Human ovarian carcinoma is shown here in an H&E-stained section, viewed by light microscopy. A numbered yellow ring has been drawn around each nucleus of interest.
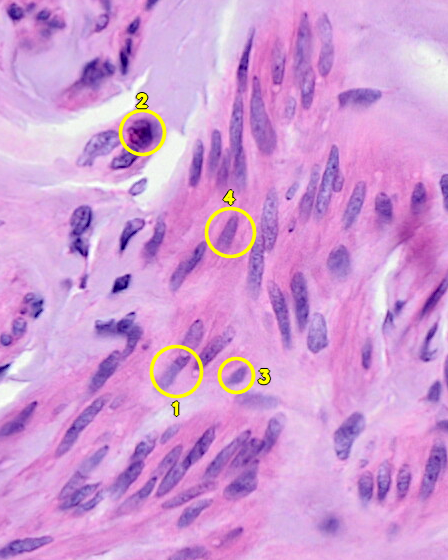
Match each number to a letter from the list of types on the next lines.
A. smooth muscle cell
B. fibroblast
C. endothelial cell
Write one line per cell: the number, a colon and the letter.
1: A
2: C
3: A
4: A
